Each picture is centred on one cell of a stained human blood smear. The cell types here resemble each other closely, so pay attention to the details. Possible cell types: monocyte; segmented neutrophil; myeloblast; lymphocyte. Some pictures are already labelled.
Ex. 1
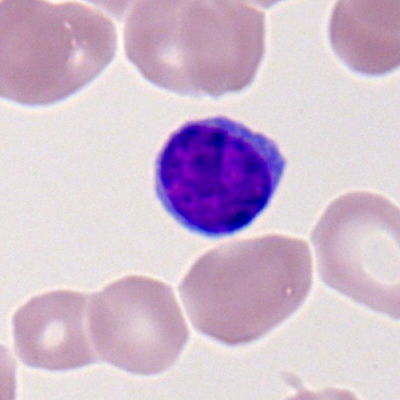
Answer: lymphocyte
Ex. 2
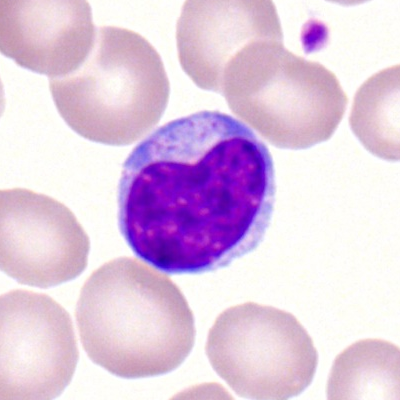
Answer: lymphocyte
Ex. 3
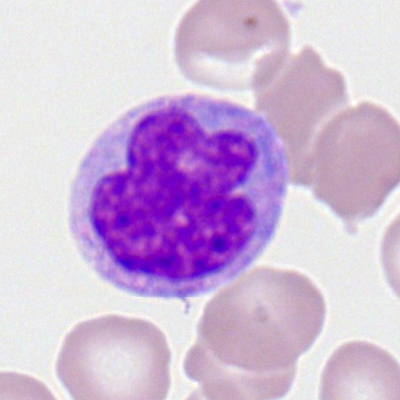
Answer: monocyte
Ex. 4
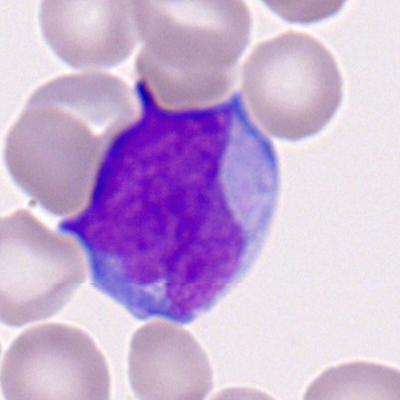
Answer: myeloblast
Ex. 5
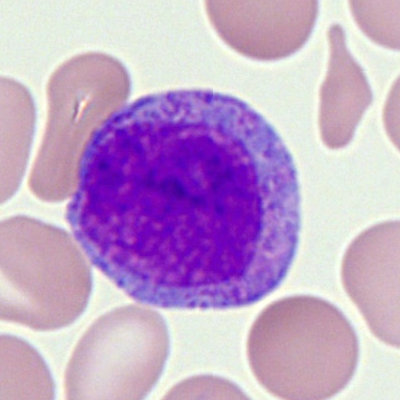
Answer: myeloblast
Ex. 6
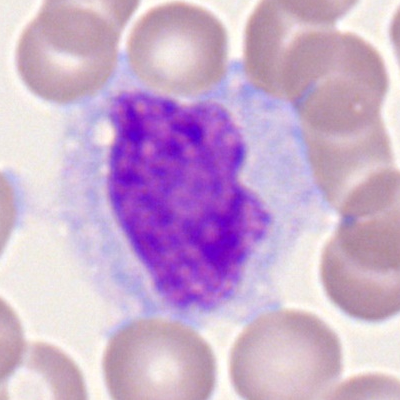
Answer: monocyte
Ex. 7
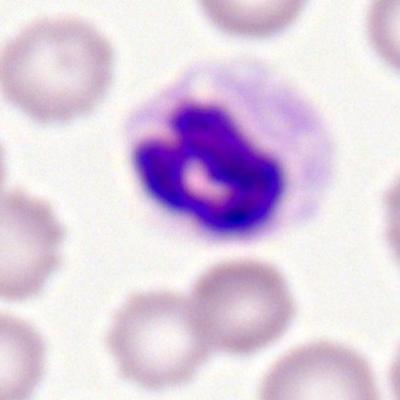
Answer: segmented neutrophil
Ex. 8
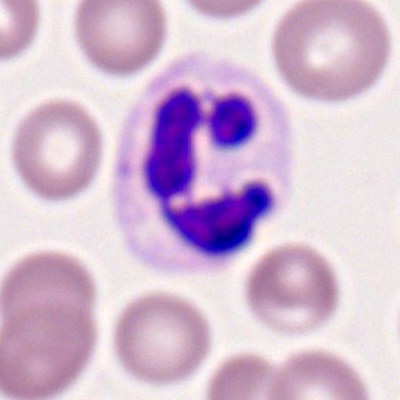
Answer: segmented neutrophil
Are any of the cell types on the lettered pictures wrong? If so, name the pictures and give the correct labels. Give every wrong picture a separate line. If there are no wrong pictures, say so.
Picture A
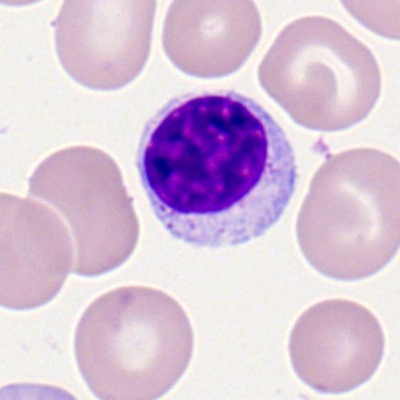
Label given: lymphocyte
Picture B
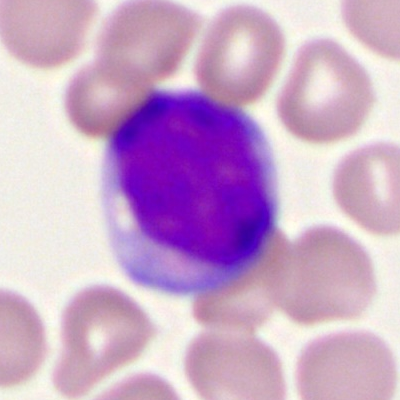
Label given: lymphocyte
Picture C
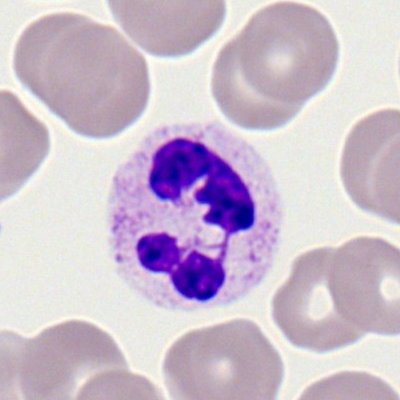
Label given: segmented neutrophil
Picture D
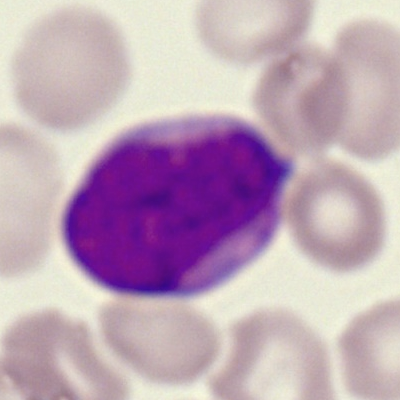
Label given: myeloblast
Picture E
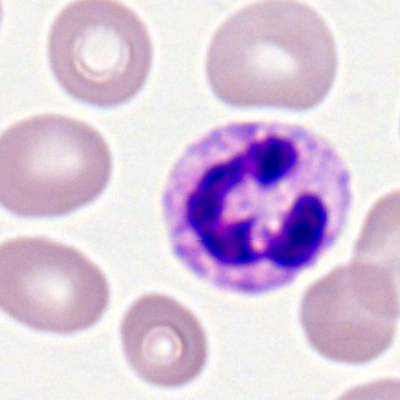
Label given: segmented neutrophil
B is labelled lymphocyte; correct label: myeloblast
